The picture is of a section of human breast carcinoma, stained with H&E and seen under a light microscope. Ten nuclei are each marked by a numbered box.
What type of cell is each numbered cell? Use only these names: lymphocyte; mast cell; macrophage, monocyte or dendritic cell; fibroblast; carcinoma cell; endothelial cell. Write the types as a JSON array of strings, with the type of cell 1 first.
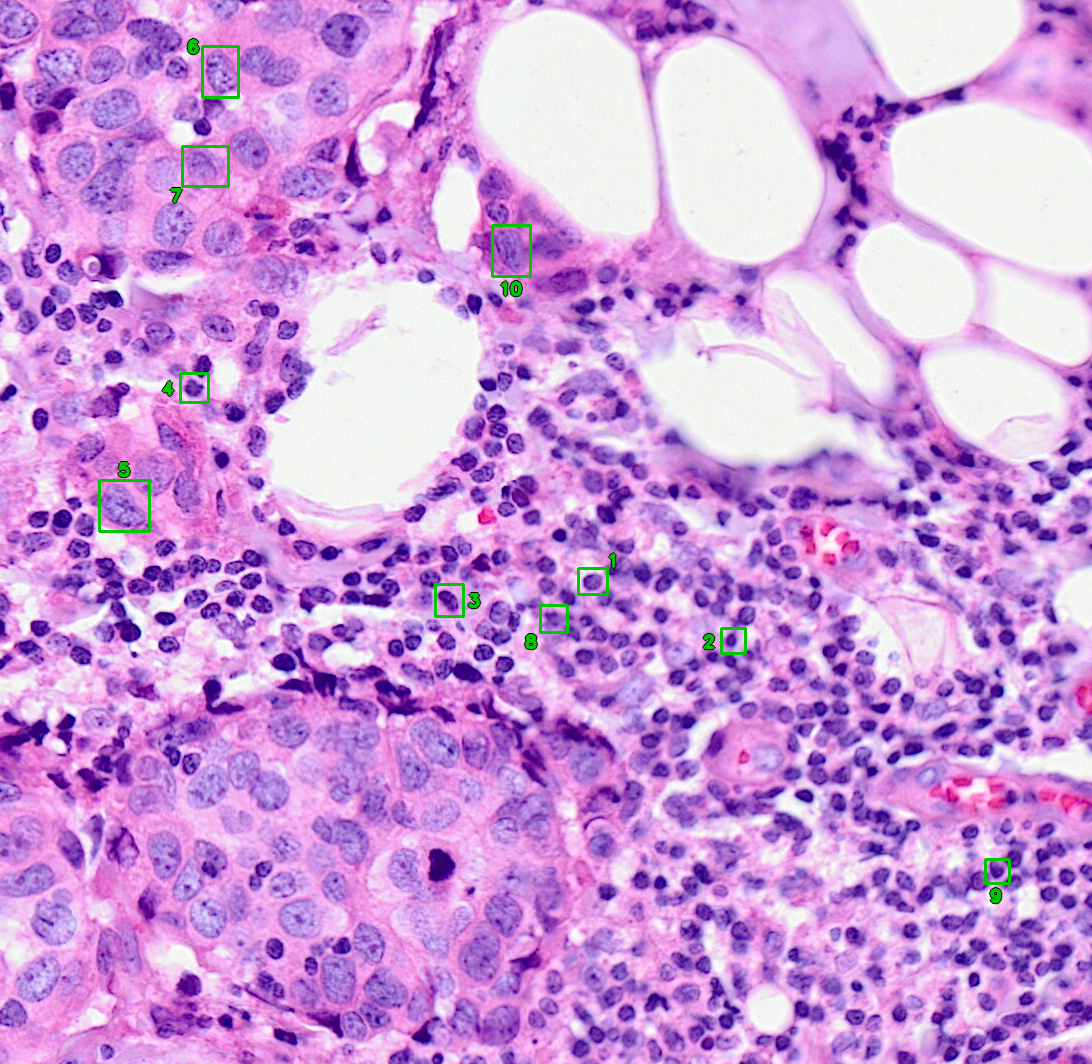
["lymphocyte", "lymphocyte", "lymphocyte", "lymphocyte", "carcinoma cell", "carcinoma cell", "carcinoma cell", "lymphocyte", "lymphocyte", "carcinoma cell"]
